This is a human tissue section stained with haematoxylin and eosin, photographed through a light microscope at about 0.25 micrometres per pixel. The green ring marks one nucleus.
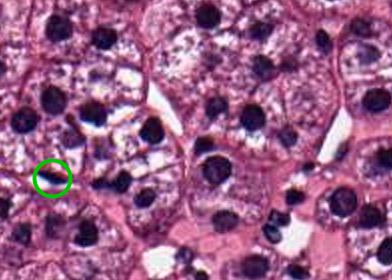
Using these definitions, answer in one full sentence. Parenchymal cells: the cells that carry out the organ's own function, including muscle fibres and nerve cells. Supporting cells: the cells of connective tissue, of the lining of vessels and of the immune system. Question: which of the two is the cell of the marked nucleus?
What the marked nucleus belongs to is a supporting cell.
